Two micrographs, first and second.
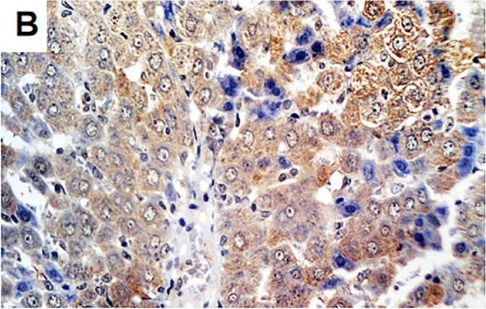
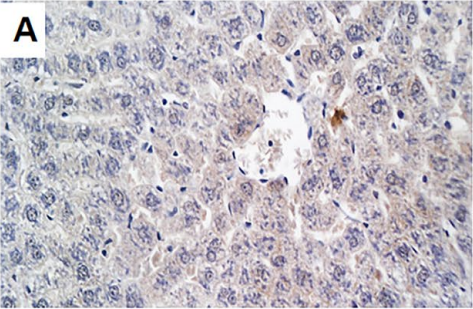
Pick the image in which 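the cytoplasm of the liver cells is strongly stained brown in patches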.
The first image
